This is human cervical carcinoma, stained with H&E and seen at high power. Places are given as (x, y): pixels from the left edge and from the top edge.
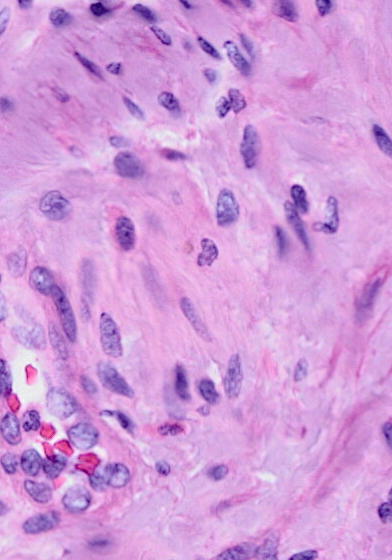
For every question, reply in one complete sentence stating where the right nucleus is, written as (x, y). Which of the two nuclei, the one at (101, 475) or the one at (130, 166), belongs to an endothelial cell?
The member of the pair belonging to an endothelial cell is the nucleus at (101, 475).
